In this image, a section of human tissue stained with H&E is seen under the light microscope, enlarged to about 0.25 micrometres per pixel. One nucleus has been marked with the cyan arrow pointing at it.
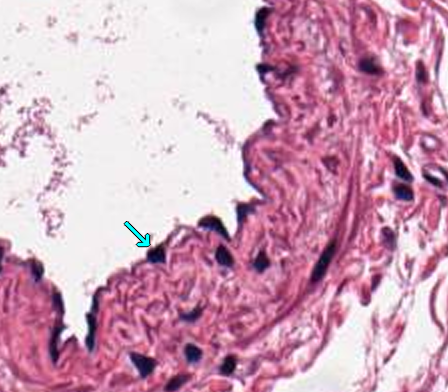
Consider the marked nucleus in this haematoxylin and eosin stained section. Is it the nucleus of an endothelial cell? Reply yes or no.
yes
